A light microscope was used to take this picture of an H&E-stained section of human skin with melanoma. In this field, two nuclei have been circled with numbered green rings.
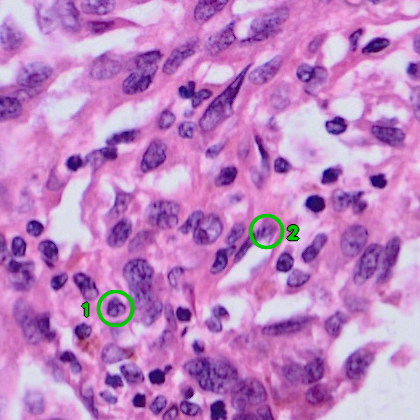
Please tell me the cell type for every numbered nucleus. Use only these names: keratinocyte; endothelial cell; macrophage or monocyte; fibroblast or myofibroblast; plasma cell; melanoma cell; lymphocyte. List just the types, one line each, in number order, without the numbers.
lymphocyte
endothelial cell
